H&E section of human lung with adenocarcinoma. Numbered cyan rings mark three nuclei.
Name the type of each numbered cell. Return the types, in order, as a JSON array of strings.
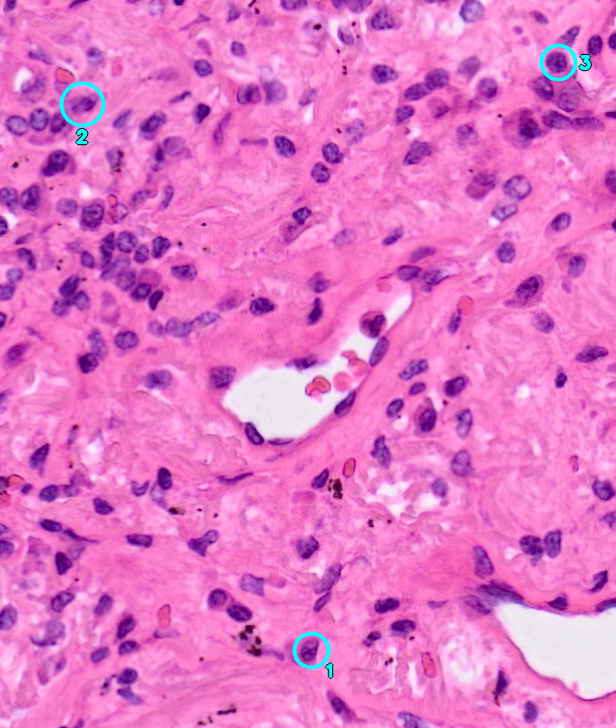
["plasma cell", "plasma cell", "lymphocyte"]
